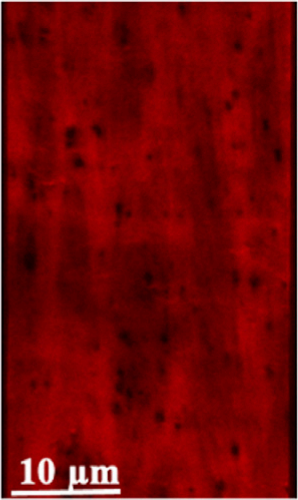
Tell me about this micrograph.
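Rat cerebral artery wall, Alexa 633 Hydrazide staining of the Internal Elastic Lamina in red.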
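The layer here looks like a fairly even, continuous red sheet rather than a net of separate fibres. Faint streaks run along one direction through it. Small dark holes are scattered across the sheet.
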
